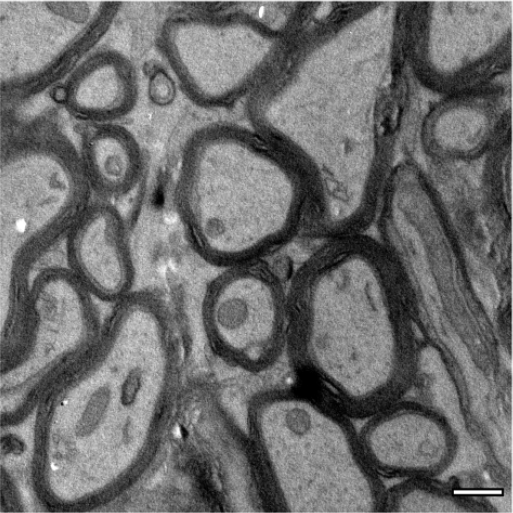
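This electron micrograph shows myelinated axons cut in cross section, packed closely together. Each axon appears as a pale, round to oval or irregular profile of axoplasm enclosed by a thick, dark, compact ring of myelin. The axons vary considerably in size, from small profiles to large ones several times wider. Within some axons small rounded organelles with grey content are visible. The narrow spaces between the sheaths contain a light, finely textured background.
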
